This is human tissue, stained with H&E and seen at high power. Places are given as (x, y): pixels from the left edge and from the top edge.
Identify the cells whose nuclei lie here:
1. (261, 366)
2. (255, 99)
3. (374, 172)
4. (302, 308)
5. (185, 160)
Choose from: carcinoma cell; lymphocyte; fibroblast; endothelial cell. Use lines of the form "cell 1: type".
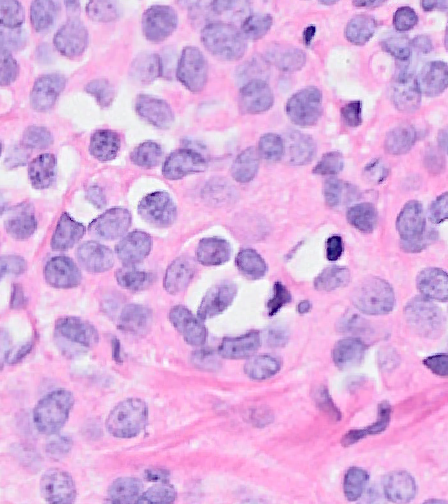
cell 1: carcinoma cell
cell 2: carcinoma cell
cell 3: endothelial cell
cell 4: lymphocyte
cell 5: carcinoma cell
